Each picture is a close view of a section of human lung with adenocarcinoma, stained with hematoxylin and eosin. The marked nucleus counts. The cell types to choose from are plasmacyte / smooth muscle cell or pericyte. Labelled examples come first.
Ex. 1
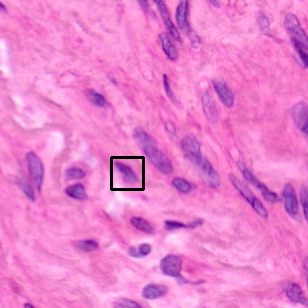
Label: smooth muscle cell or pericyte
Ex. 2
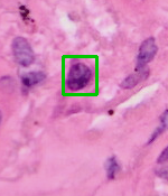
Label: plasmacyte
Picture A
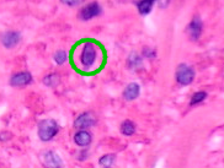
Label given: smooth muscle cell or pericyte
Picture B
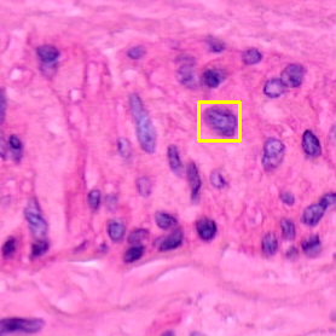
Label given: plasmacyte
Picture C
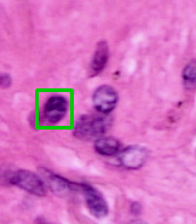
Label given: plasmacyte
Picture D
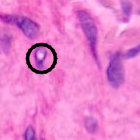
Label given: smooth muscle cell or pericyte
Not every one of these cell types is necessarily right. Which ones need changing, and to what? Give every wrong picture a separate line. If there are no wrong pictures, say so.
Wrong: B (plasmacyte); correct: smooth muscle cell or pericyte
